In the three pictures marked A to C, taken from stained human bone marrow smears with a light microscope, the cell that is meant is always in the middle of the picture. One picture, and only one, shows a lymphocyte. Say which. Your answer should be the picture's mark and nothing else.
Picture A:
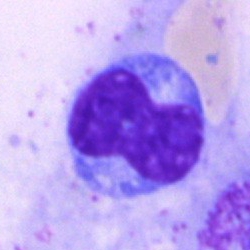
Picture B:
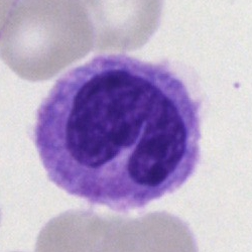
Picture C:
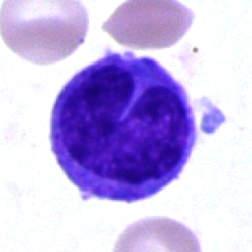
A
